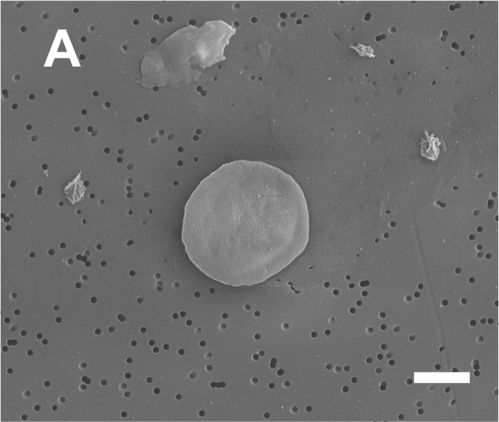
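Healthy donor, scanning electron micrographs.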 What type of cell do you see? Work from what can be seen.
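Normal resting platelet. A single small round flat disc-shaped cell lies on a porous filter. The cell has a smooth outline with no projections. There is no nucleus bulging from the surface.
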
